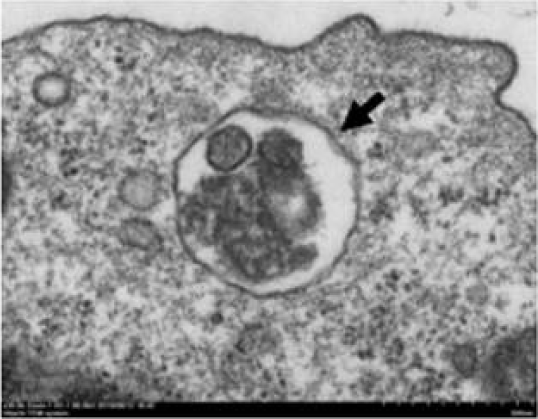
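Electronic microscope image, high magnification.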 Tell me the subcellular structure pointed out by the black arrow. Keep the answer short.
Autophagic vacuole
